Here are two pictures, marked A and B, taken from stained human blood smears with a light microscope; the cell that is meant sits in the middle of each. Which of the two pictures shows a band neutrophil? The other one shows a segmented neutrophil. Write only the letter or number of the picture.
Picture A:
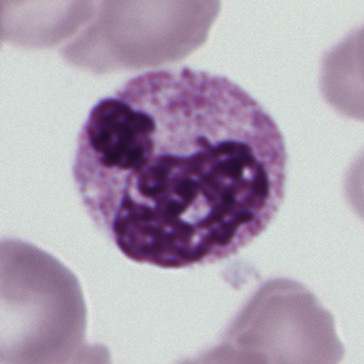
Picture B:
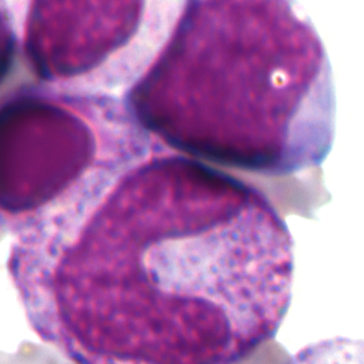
B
